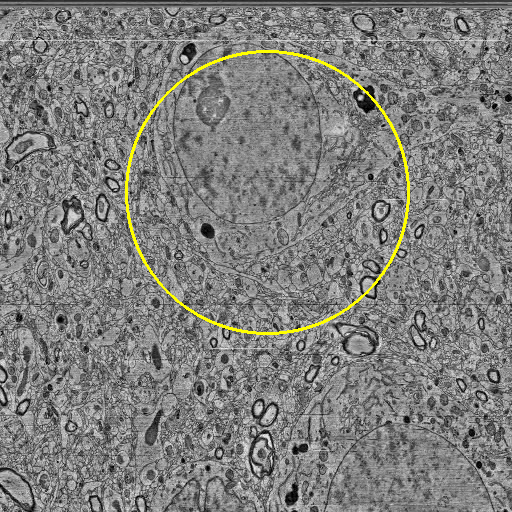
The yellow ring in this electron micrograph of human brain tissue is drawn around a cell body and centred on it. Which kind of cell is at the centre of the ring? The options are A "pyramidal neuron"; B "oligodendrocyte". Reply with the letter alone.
A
